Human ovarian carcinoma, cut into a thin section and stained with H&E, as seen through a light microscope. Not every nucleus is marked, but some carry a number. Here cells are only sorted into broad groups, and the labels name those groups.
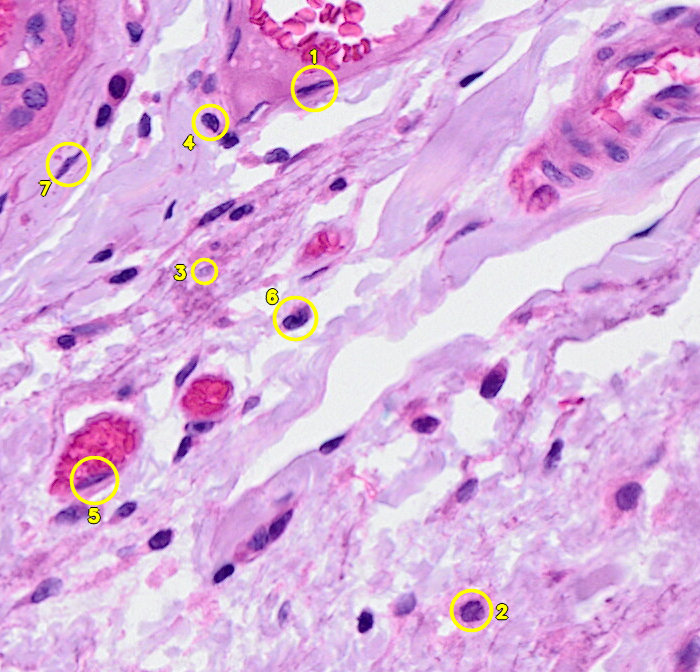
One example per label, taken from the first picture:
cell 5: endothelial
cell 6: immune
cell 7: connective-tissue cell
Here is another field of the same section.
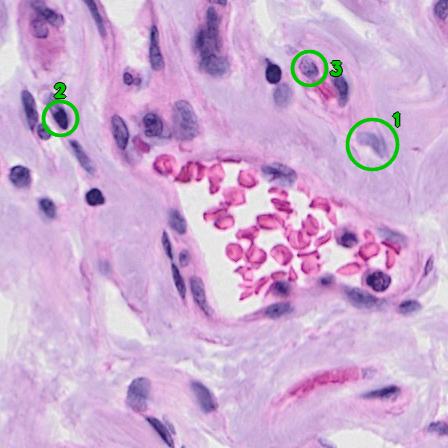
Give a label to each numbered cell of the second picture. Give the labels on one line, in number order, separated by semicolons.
connective-tissue cell; immune; endothelial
